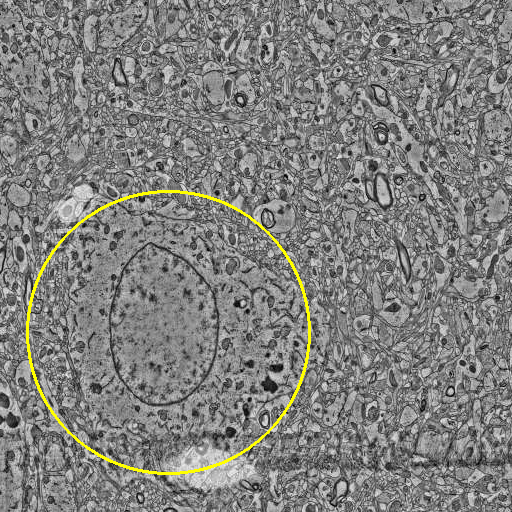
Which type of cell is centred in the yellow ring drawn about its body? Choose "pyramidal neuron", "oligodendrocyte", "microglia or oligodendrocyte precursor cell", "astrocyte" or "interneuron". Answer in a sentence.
The yellow ring surrounds the cell body of a pyramidal neuron.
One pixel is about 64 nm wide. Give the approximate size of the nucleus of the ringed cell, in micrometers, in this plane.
In this plane, about 10 micrometres in length and 7 in width.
